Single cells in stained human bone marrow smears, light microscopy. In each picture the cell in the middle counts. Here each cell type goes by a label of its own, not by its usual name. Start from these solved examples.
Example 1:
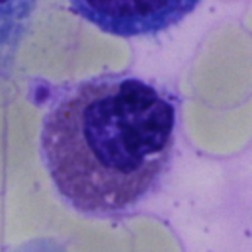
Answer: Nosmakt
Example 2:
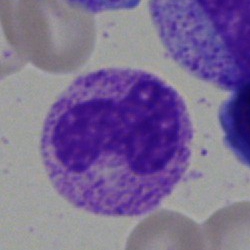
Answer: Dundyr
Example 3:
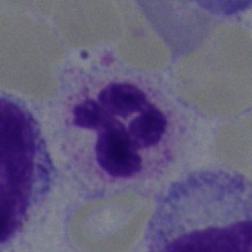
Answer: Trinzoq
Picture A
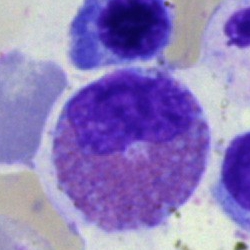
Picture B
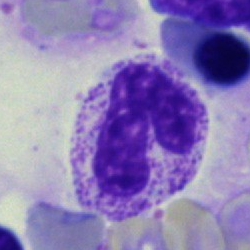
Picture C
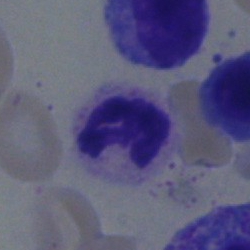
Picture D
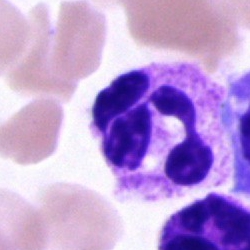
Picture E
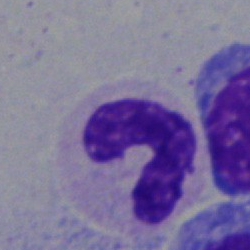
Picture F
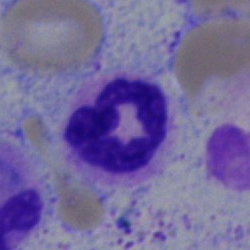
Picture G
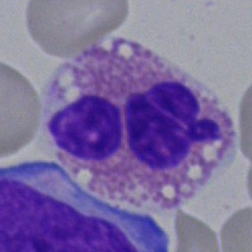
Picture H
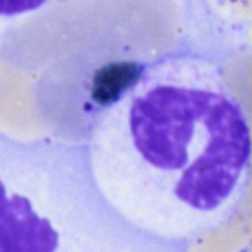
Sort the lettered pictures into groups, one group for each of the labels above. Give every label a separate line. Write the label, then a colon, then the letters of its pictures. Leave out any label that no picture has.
Nosmakt: A, G
Dundyr: B, E, H
Trinzoq: C, D, F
